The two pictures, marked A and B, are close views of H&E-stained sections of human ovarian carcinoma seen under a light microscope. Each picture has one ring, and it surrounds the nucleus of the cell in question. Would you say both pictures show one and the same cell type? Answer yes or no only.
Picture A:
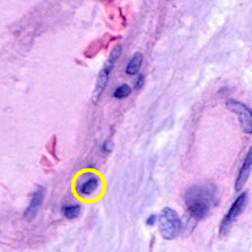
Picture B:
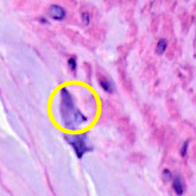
no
